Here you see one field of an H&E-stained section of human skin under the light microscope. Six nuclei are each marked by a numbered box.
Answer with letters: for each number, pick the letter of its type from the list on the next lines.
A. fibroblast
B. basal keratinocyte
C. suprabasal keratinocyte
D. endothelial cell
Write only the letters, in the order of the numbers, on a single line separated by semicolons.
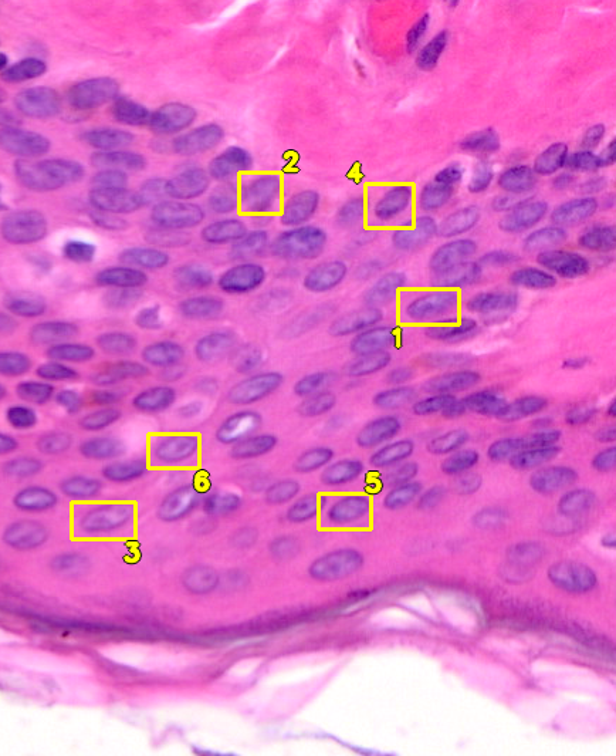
B; B; C; B; C; C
